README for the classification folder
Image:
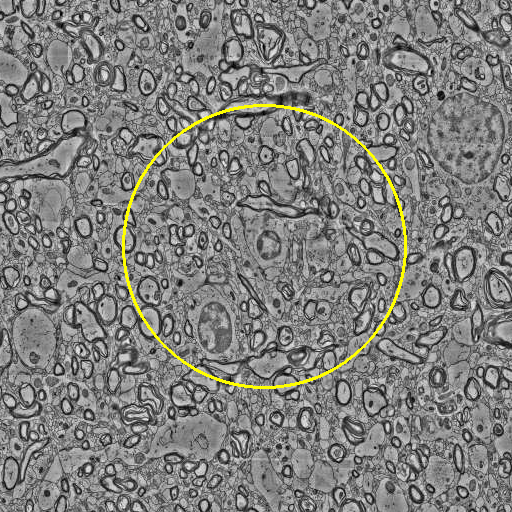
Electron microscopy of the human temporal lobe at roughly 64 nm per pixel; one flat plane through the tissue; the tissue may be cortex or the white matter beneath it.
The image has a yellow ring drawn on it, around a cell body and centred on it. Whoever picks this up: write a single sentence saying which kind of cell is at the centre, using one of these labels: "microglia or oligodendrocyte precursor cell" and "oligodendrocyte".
This cell body is that of a microglial cell or oligodendrocyte precursor cell.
